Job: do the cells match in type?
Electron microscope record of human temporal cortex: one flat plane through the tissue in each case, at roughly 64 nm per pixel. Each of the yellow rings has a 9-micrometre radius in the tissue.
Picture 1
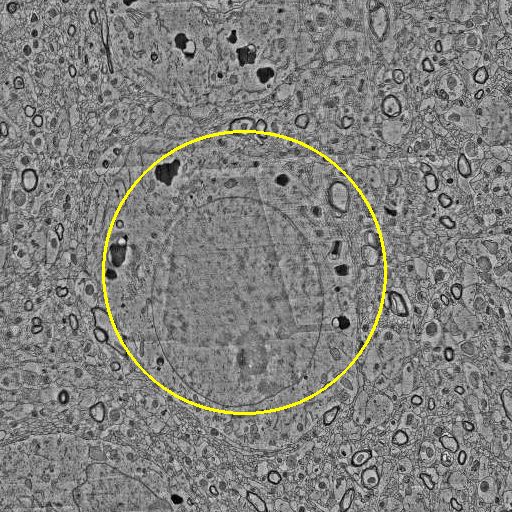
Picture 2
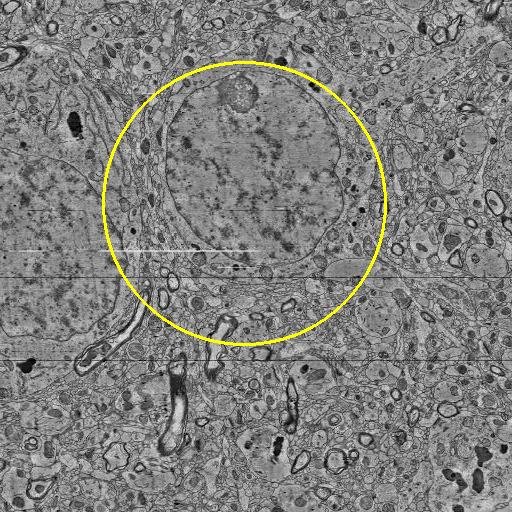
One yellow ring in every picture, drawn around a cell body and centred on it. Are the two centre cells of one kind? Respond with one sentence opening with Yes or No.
Yes, the ringed cells in the two pictures are of one and the same kind.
